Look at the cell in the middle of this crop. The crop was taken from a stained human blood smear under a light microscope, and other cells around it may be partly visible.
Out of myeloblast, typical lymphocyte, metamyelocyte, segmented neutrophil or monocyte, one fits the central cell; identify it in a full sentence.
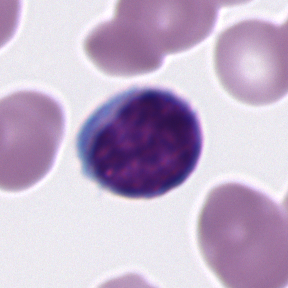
The cell that lies at the centre of the crop is a typical lymphocyte.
